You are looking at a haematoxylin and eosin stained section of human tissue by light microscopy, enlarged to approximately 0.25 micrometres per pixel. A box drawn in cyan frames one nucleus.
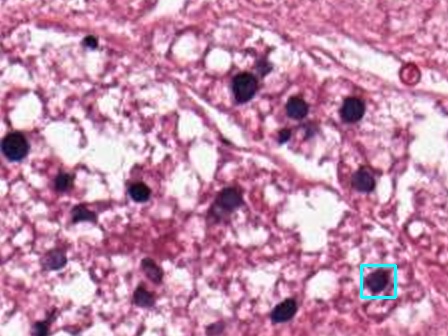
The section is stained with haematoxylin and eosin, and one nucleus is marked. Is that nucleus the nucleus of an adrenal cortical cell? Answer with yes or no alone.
yes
